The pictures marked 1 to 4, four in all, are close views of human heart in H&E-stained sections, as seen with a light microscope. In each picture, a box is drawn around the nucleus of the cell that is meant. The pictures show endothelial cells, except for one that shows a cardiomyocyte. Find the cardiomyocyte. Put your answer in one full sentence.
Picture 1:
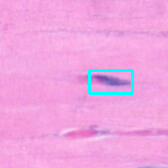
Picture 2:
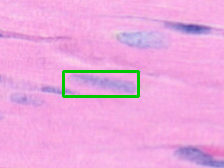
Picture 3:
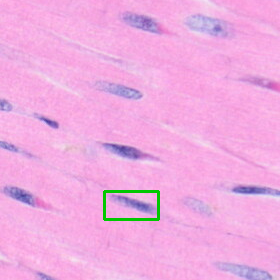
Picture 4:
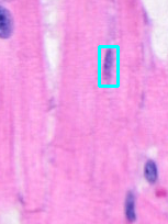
Picture 2 is the one that shows the cardiomyocyte.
